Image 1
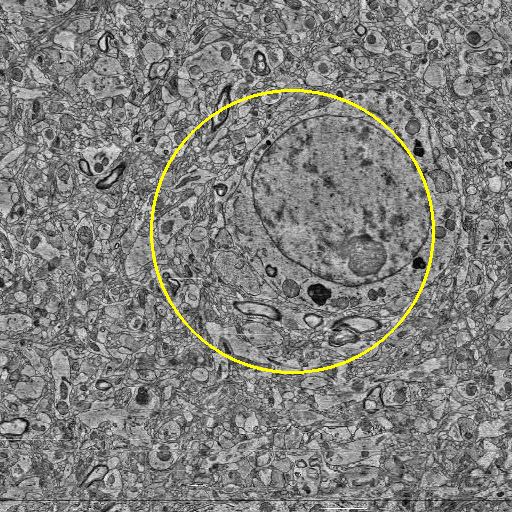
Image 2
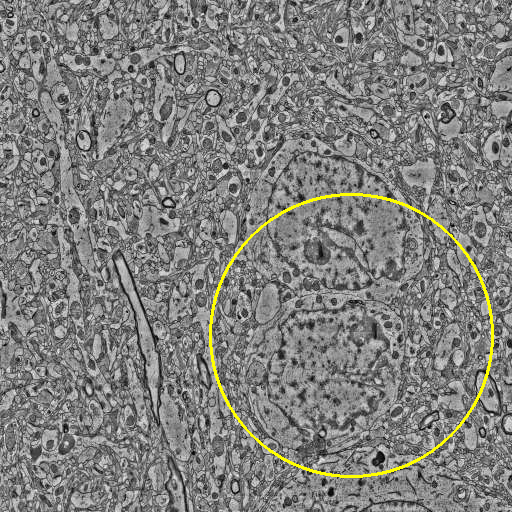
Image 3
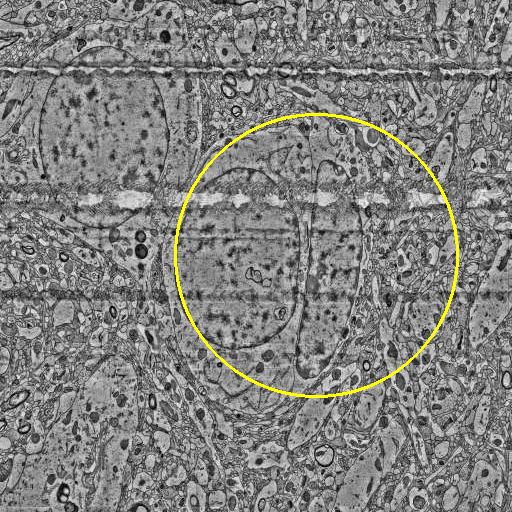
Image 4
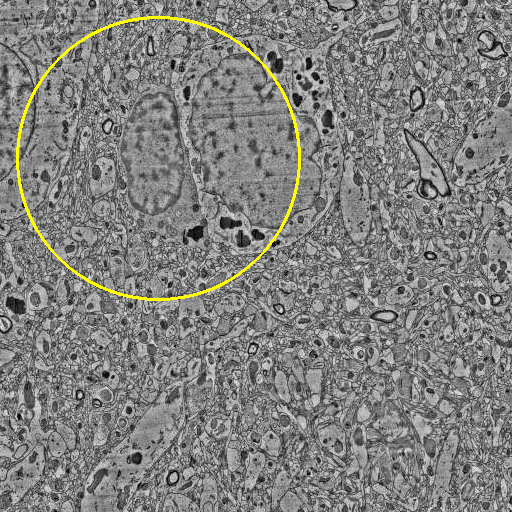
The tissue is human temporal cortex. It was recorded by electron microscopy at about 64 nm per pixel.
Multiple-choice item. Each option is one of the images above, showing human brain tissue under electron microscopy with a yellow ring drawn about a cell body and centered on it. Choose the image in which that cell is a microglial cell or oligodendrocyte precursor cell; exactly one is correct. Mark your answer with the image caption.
Image 3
